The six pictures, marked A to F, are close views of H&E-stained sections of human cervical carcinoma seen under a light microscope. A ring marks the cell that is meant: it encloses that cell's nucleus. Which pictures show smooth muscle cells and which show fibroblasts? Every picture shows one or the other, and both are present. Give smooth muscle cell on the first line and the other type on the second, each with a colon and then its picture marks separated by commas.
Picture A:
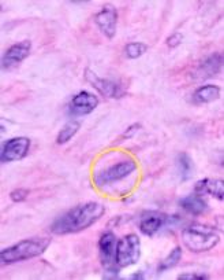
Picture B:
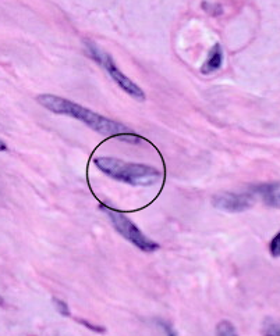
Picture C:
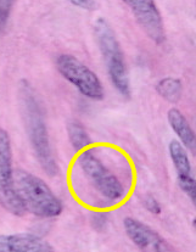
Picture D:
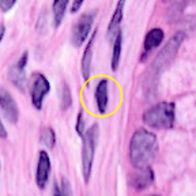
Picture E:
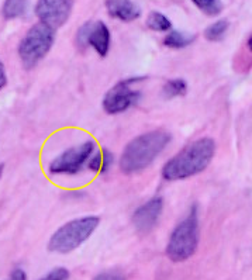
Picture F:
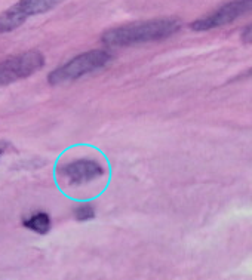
smooth muscle cell: A, C
fibroblast: B, D, E, F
